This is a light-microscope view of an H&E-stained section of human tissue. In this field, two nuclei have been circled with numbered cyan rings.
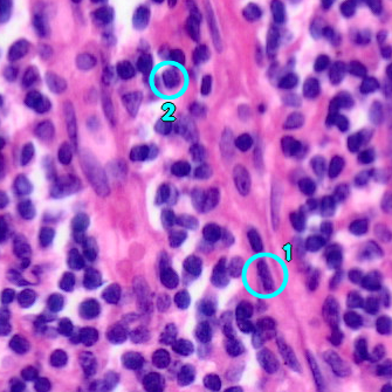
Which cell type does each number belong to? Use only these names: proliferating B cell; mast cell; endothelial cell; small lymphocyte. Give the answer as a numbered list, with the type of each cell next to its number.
1. endothelial cell
2. small lymphocyte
